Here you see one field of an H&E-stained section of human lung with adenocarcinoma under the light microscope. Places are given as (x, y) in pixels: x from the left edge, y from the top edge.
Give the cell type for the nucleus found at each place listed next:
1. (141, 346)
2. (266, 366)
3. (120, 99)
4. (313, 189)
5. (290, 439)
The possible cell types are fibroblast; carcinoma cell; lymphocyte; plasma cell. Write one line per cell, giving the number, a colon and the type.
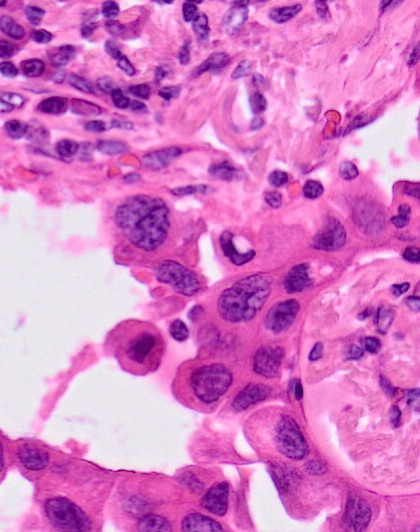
1: carcinoma cell
2: carcinoma cell
3: plasma cell
4: lymphocyte
5: carcinoma cell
